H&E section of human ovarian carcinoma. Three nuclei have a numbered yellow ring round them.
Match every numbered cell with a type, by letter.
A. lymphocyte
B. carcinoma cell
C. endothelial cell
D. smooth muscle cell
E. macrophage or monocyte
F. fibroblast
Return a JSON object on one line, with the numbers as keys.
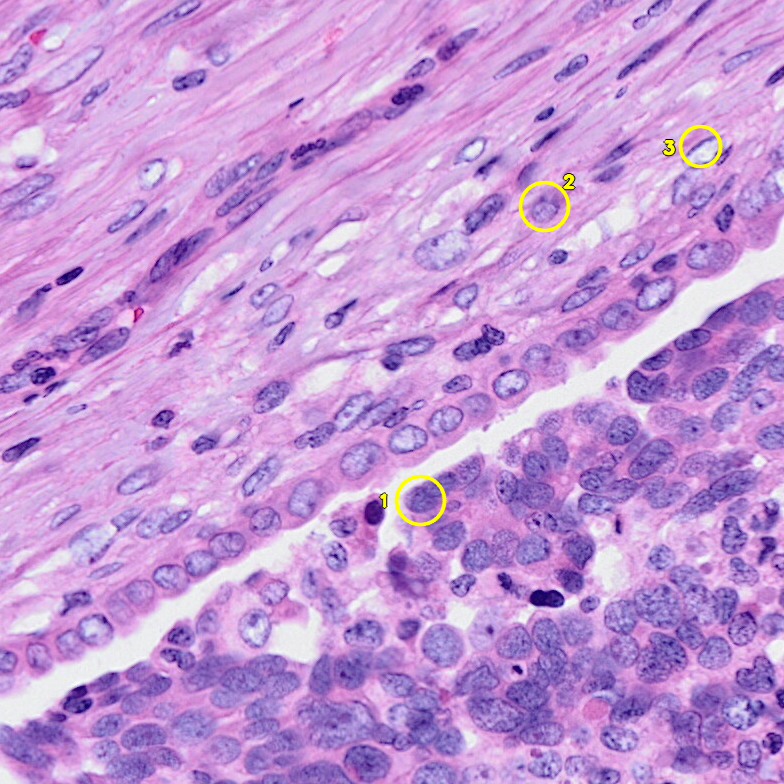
{"1": "B", "2": "F", "3": "F"}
